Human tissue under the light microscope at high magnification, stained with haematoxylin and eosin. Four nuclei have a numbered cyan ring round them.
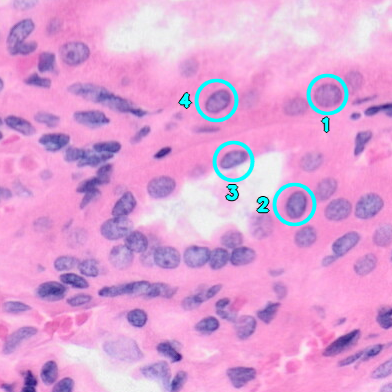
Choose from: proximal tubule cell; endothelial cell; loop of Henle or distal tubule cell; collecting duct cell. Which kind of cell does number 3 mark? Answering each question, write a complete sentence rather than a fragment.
The numeral 3 marks a loop of Henle or distal tubule cell in this section.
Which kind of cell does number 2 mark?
The cell assigned the number 2 is a loop of Henle or distal tubule cell.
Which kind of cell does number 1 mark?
The marked cell bearing number 1 is a proximal tubule cell.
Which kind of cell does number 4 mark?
The cell that bears the number 4 is a proximal tubule cell.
